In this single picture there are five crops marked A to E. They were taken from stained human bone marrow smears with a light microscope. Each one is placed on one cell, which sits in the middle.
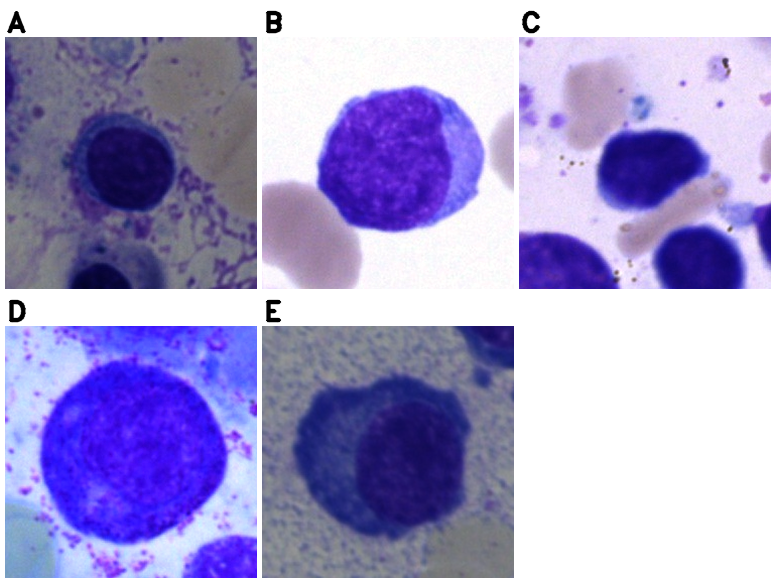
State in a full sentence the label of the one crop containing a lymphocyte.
Crop C is the crop featuring a lymphocyte at its center.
